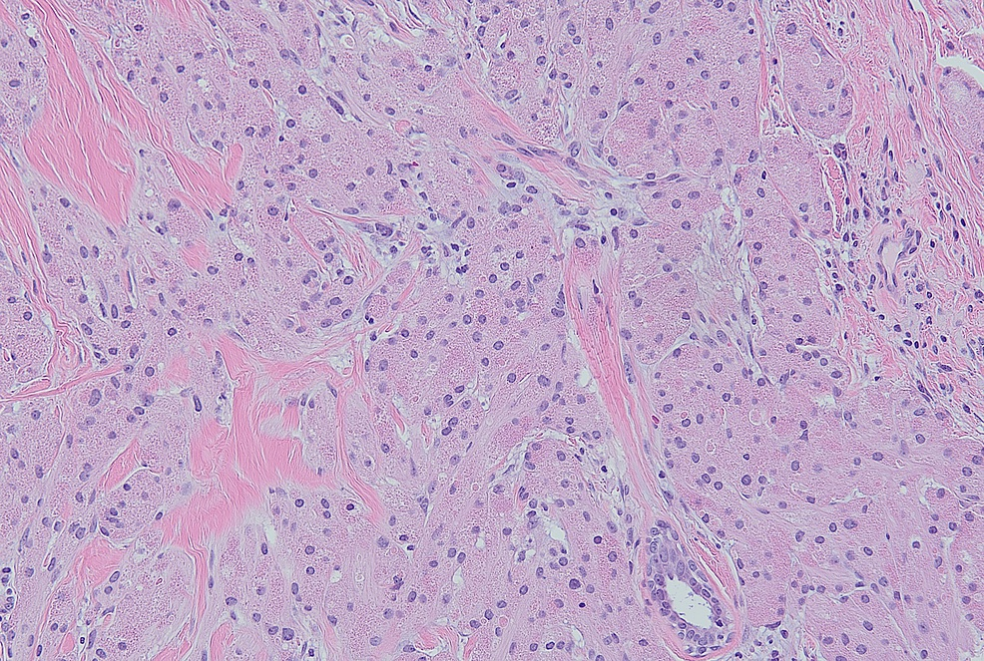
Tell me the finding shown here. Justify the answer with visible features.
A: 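Granular cell tumor. Sheets and nests of large polygonal cells with abundant finely granular pink cytoplasm. Small, round, dark nuclei sit within the wide cytoplasm. Bands of pink collagen run between the cell groups.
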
